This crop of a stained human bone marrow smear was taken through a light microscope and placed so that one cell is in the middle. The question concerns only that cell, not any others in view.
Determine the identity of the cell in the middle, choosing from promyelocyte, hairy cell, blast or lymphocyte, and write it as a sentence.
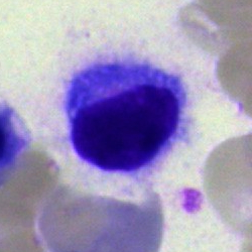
The cell occupying the middle of the crop is a hairy cell.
